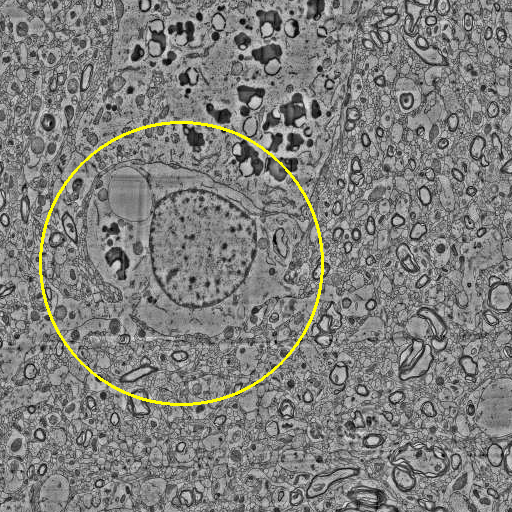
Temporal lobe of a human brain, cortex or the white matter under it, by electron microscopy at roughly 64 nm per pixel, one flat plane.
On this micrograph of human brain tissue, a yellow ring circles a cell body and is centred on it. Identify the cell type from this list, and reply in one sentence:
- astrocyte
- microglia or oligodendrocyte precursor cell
The cell at the centre is an astrocyte.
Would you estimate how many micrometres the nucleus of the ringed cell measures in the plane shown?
The ringed cell's nucleus is about 7 micrometres across in this plane.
